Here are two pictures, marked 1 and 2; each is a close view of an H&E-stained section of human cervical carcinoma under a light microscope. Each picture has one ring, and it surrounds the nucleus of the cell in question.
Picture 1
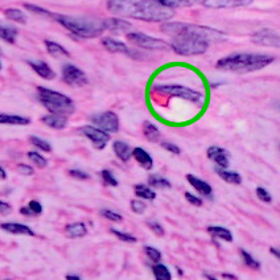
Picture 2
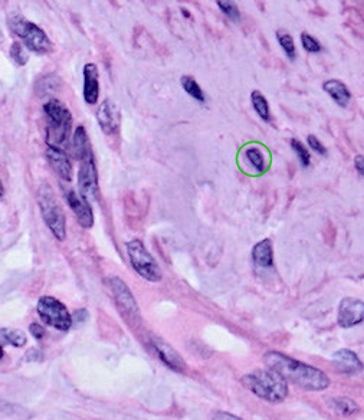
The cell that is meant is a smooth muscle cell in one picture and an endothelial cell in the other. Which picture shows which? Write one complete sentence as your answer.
Picture 1 is of an endothelial cell, and picture 2 is of a smooth muscle cell.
